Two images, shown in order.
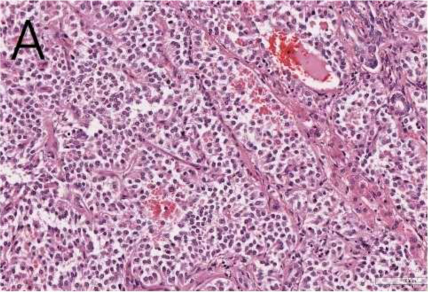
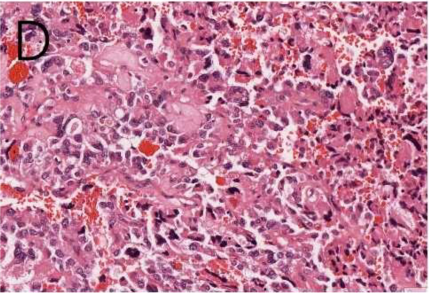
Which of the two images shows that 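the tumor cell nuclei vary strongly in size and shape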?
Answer: The second image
